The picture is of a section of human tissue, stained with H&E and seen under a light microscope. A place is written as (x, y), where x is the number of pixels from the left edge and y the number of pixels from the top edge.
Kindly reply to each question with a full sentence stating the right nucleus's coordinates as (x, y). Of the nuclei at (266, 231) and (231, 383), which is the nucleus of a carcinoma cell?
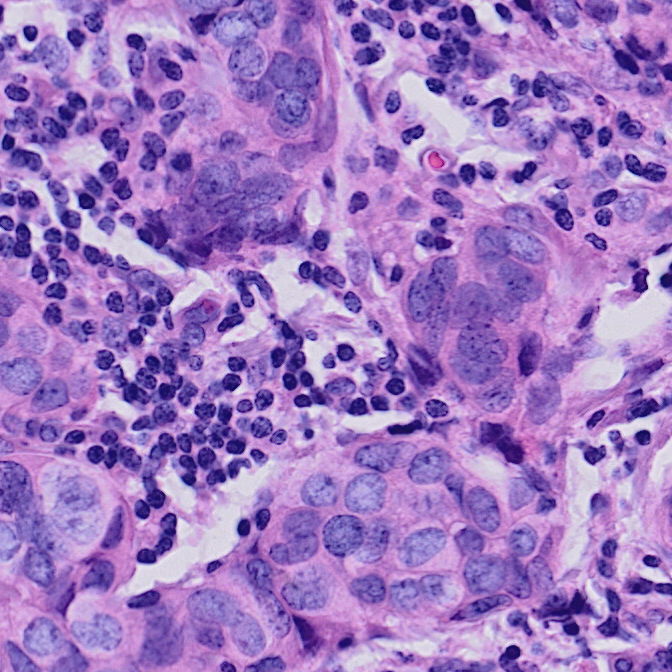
The nucleus of the pair that lies within a carcinoma cell is at (266, 231).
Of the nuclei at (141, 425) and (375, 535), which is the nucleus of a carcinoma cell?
The nucleus at (375, 535), rather than the other one, belongs to a carcinoma cell.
